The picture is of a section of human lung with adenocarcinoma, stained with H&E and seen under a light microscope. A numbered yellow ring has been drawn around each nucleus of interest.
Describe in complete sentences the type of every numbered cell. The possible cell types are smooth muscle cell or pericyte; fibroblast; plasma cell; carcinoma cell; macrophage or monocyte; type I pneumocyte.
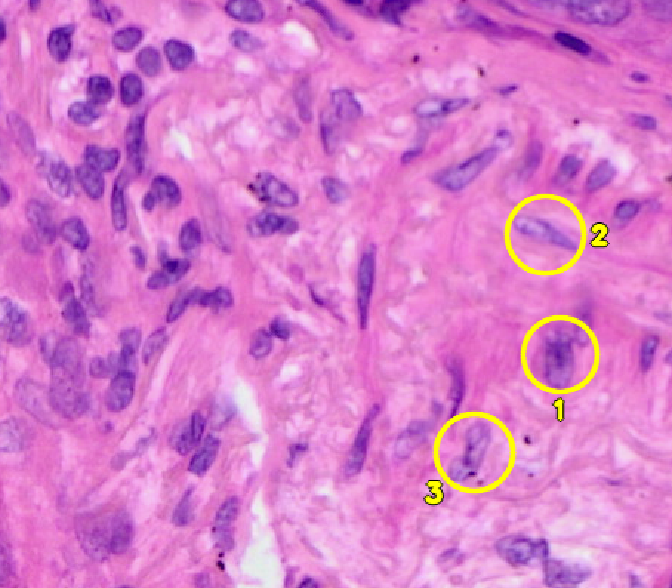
Cells 1 and 2 are smooth muscle cells or pericytes. Cell 3 is a fibroblast.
